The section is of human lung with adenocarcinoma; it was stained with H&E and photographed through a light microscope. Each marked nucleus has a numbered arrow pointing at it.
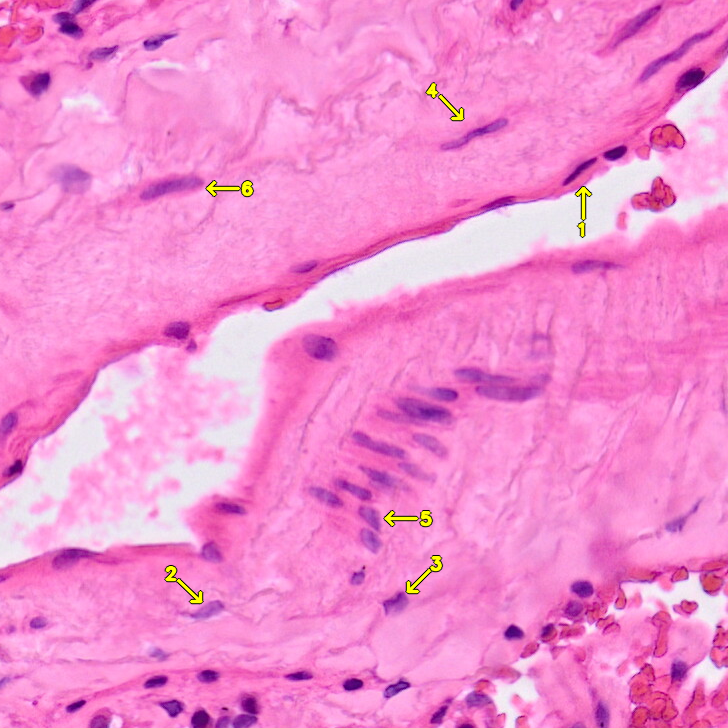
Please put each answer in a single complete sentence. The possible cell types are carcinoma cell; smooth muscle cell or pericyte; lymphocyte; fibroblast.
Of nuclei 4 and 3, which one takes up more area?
At about 1.5 times the area of nucleus 3, nucleus 4 is the larger of the two.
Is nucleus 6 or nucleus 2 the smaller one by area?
With nucleus 6 about 2.5 times its size, nucleus 2 is the smaller of the two.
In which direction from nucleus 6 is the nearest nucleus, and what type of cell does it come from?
It is a fibroblast, whose nucleus lies to the left of nucleus 6.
